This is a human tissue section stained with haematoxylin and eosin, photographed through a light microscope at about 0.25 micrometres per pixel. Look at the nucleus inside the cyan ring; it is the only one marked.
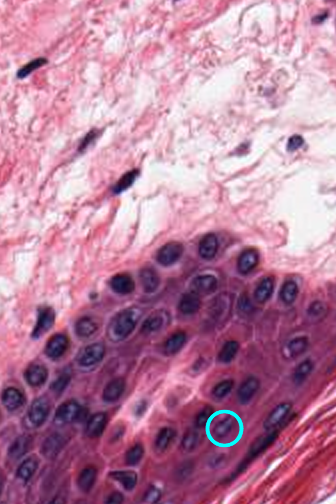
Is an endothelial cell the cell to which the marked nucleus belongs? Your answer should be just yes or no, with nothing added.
no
